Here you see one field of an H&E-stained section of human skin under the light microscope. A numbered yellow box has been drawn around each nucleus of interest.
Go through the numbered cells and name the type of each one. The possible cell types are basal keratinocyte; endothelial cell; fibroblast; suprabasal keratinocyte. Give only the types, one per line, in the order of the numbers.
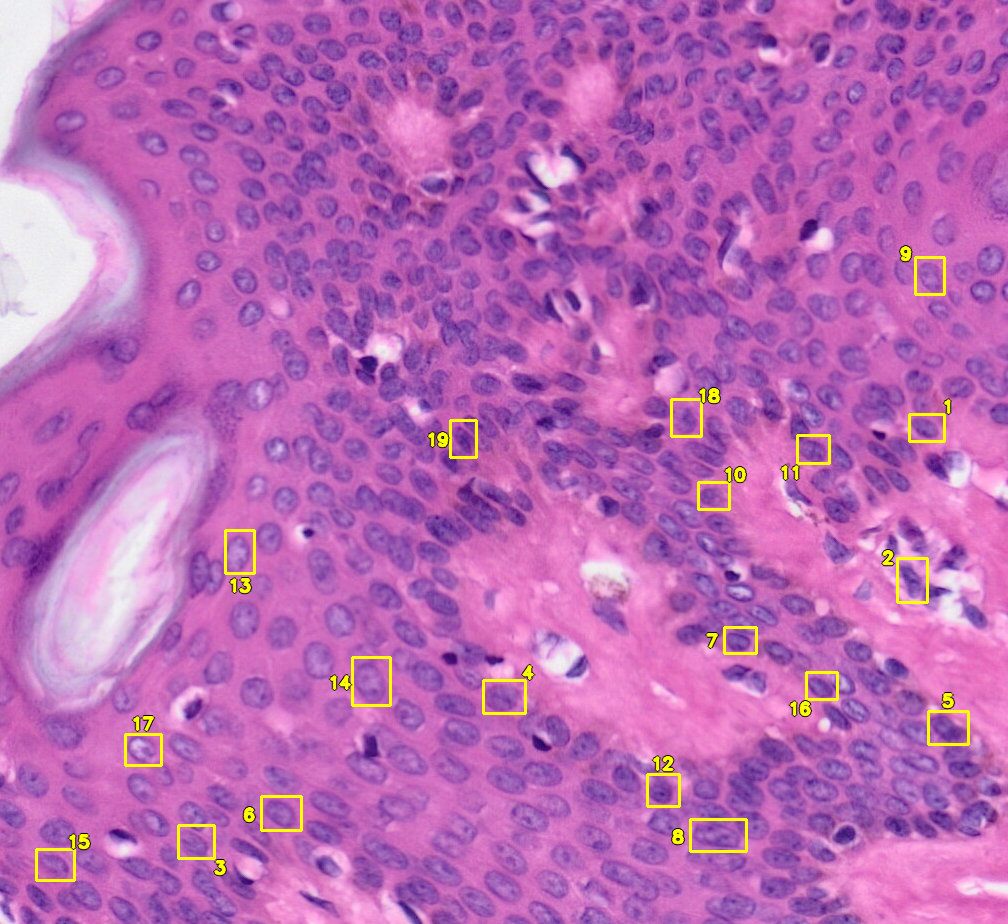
basal keratinocyte
endothelial cell
suprabasal keratinocyte
basal keratinocyte
basal keratinocyte
suprabasal keratinocyte
basal keratinocyte
suprabasal keratinocyte
suprabasal keratinocyte
basal keratinocyte
basal keratinocyte
basal keratinocyte
suprabasal keratinocyte
suprabasal keratinocyte
suprabasal keratinocyte
basal keratinocyte
suprabasal keratinocyte
basal keratinocyte
basal keratinocyte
